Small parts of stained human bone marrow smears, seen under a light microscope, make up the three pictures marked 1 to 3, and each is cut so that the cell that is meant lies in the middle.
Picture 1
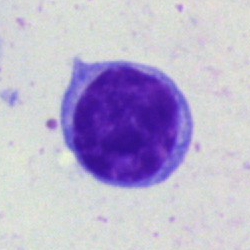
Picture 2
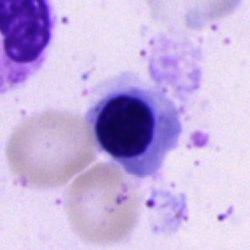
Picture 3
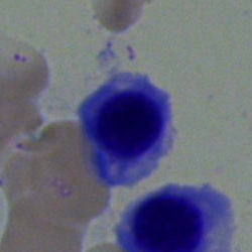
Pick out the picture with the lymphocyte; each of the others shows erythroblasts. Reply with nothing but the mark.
1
